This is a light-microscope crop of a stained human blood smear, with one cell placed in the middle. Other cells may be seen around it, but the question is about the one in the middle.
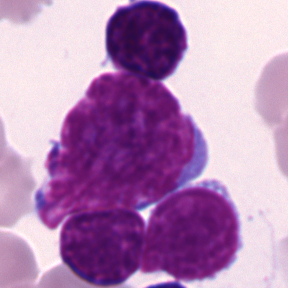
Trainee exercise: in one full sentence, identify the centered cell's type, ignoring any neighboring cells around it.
Centred in the crop is a myeloblast.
